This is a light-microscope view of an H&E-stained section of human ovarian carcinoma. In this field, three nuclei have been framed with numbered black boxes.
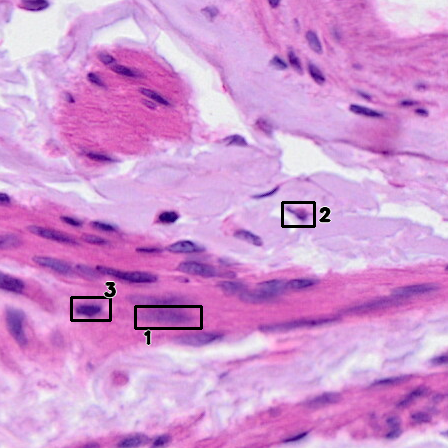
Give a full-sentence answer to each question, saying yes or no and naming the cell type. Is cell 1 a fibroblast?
No, it is a smooth muscle cell, not a fibroblast, at number 1.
